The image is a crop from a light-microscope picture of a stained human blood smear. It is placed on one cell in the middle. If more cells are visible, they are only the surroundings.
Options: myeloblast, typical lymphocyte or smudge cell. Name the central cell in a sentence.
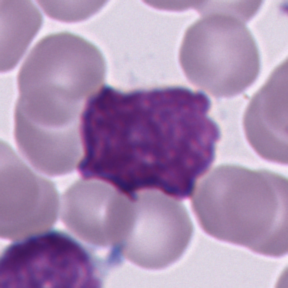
The cell centered in this field of view is a smudge cell.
